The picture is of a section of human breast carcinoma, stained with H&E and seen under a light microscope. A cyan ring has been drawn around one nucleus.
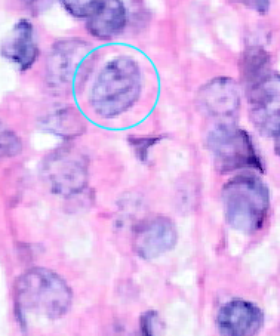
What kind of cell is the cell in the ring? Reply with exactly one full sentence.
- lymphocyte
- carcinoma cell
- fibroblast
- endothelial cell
What the cell in the ring represents is a carcinoma cell.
